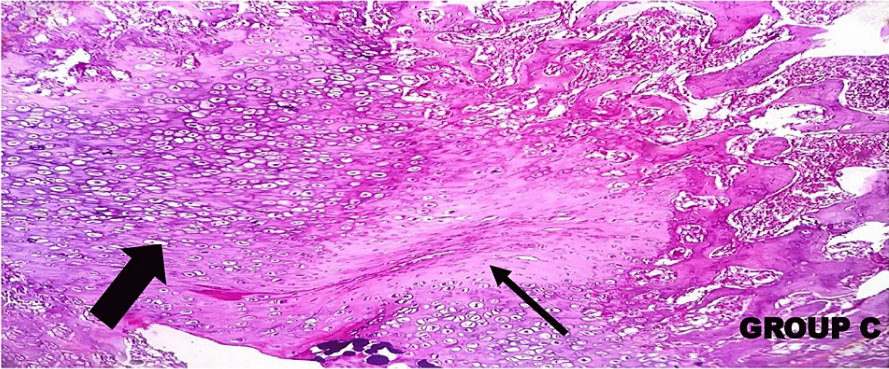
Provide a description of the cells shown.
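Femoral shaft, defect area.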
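This callus is made largely of cartilage, its chondrocytes lying singly or in small groups in clear, rounded lacunae set in a pale purple, glassy matrix that fills the left and lower part of the field. Across the middle runs a band where the cells are smaller and more flattened and the matrix turns pinker and streaming. Toward the upper right the tissue passes into irregular pink trabeculae of bone, between which lie spaces holding red blood cells. A few dark purple fragments lie at the lower edge.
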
